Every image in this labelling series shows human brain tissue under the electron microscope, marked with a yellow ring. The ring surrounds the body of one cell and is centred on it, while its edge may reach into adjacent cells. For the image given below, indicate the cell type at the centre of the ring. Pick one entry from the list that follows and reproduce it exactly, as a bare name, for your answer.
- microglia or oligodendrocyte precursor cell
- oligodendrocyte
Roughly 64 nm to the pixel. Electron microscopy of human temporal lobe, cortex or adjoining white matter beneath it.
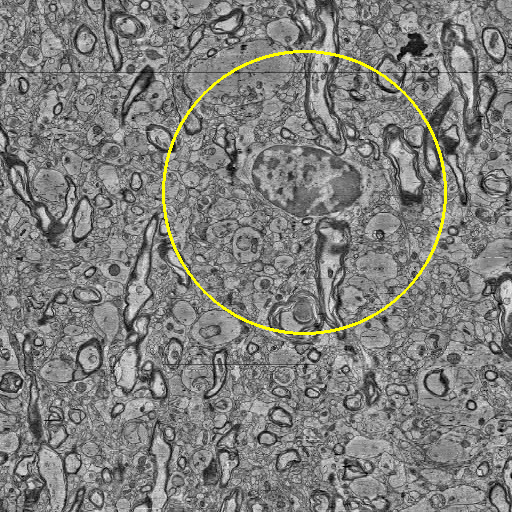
microglia or oligodendrocyte precursor cell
